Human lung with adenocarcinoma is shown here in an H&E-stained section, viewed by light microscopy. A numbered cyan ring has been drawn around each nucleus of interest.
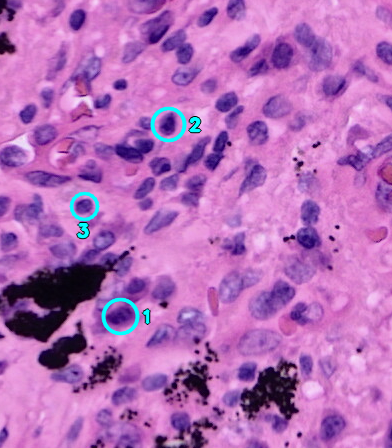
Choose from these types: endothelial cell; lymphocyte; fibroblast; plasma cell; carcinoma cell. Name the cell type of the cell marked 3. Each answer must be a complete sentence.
The cell identified by the number 3 is a lymphocyte.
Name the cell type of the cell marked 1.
Cell 1 is classified as a plasma cell.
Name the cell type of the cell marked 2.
The correct label for cell 2 is a lymphocyte.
